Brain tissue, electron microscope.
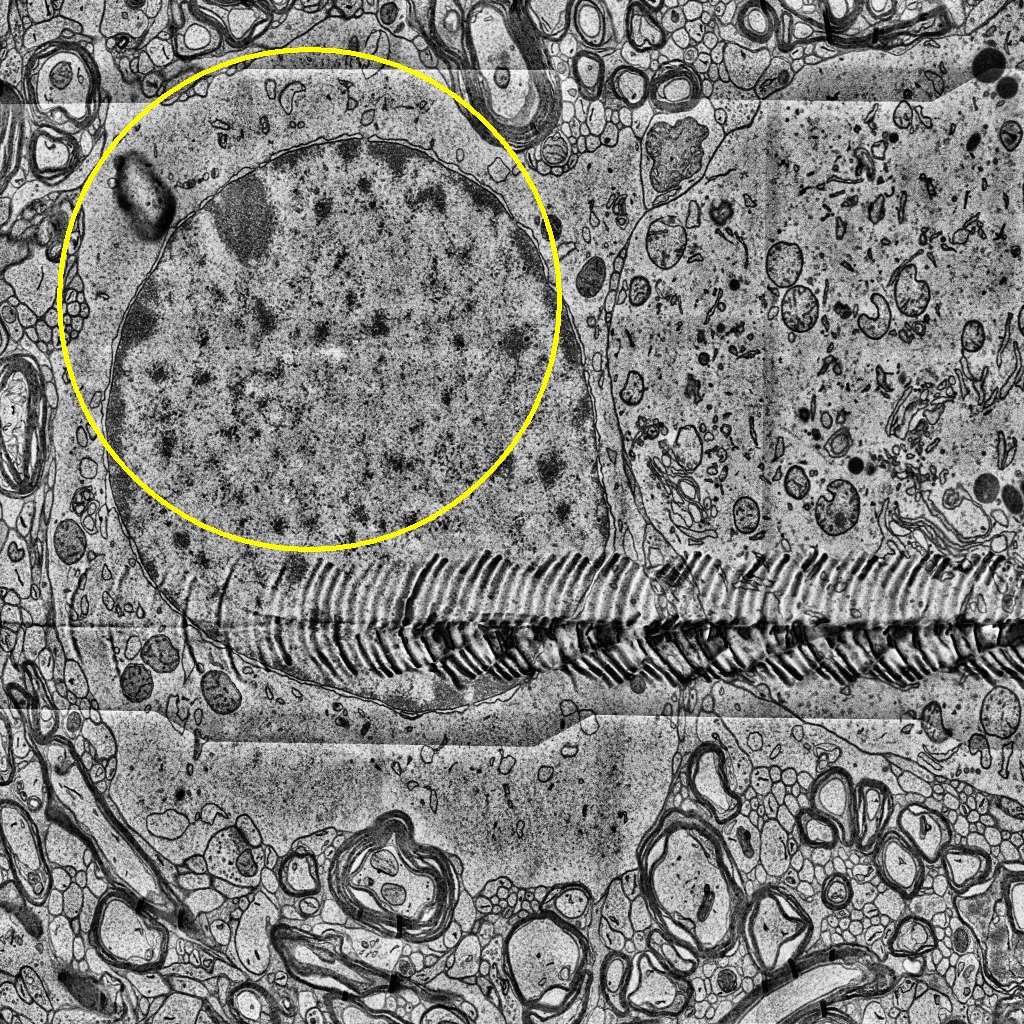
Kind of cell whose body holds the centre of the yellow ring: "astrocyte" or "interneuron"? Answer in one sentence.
The ring's centre falls on an astrocyte.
